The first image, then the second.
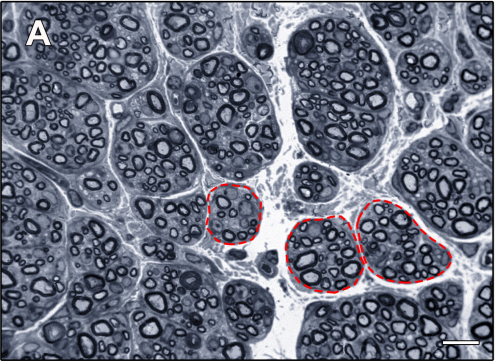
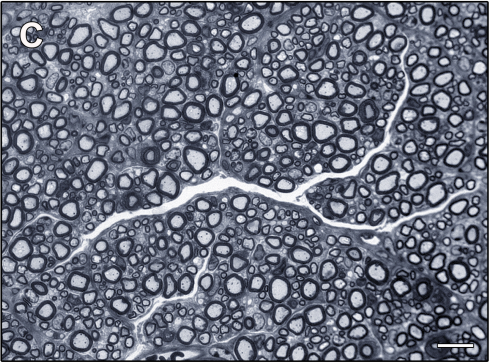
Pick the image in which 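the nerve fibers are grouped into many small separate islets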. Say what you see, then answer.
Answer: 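The first image. Second image: myelinated fibers form a large continuous field split only by a few thin pale clefts. First image: myelinated fibers are gathered into many small rounded clusters separated by wide pale connective tissue.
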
